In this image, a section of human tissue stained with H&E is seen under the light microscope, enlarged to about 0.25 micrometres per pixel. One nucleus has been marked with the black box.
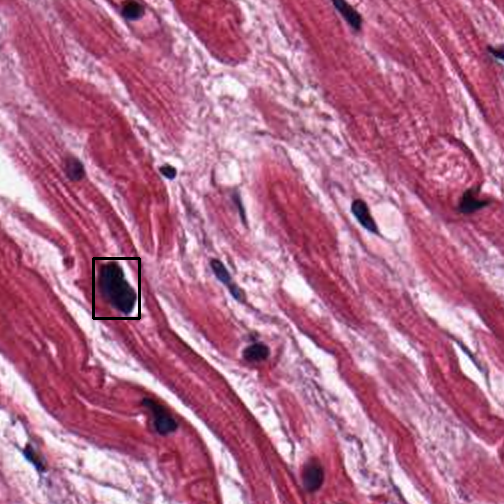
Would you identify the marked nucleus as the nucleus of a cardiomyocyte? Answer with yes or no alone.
yes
